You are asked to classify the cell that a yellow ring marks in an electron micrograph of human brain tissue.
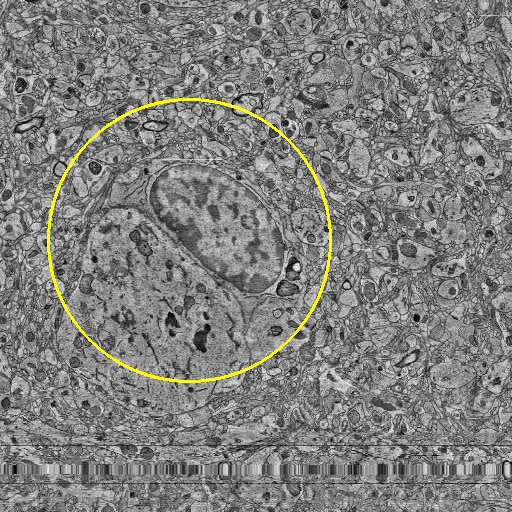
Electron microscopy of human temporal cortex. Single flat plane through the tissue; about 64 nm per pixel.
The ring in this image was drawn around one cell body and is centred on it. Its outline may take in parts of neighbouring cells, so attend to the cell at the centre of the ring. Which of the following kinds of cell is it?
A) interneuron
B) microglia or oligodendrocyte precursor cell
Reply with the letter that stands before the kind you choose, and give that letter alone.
B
